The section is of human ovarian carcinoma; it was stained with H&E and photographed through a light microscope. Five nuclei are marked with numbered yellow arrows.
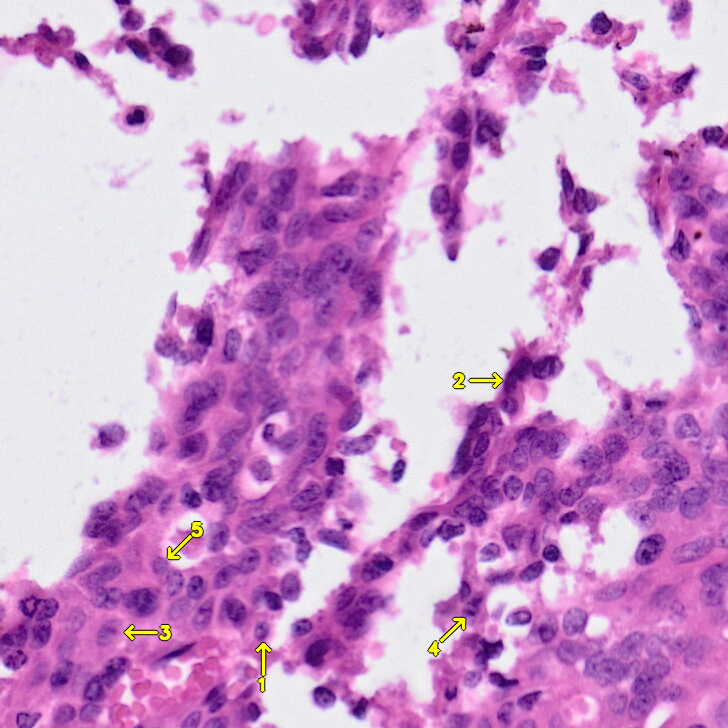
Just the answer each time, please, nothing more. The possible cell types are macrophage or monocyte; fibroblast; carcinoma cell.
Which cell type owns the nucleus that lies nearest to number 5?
macrophage or monocyte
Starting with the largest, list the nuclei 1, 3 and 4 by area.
3, 4, 1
